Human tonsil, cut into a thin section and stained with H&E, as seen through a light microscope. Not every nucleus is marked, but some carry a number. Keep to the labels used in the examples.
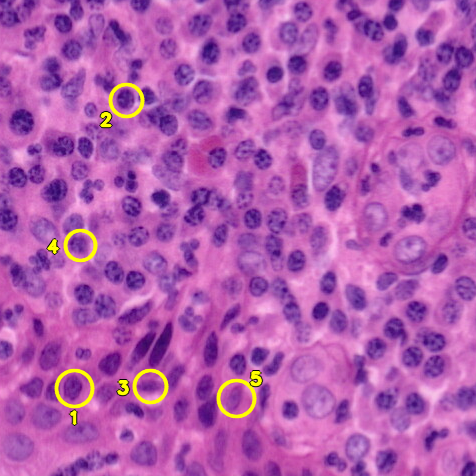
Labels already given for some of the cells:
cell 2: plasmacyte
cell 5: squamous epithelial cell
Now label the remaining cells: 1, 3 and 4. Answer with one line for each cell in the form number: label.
1: squamous epithelial cell
3: squamous epithelial cell
4: plasmacyte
